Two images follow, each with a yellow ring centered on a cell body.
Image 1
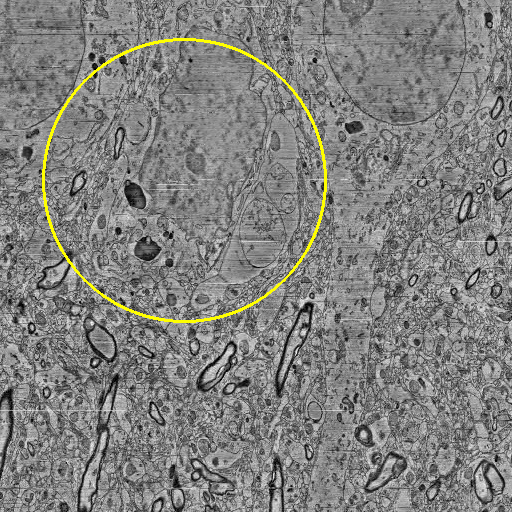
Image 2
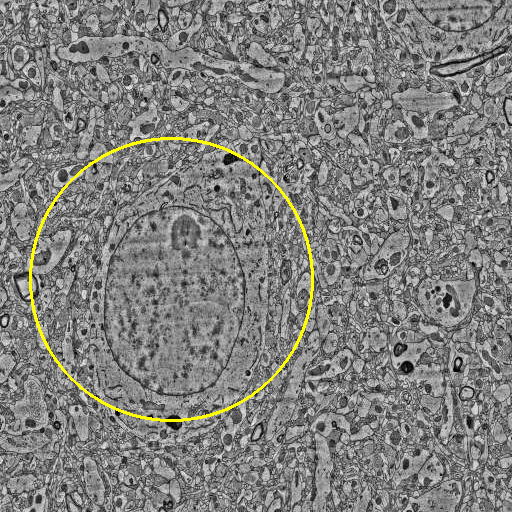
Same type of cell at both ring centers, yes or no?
no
